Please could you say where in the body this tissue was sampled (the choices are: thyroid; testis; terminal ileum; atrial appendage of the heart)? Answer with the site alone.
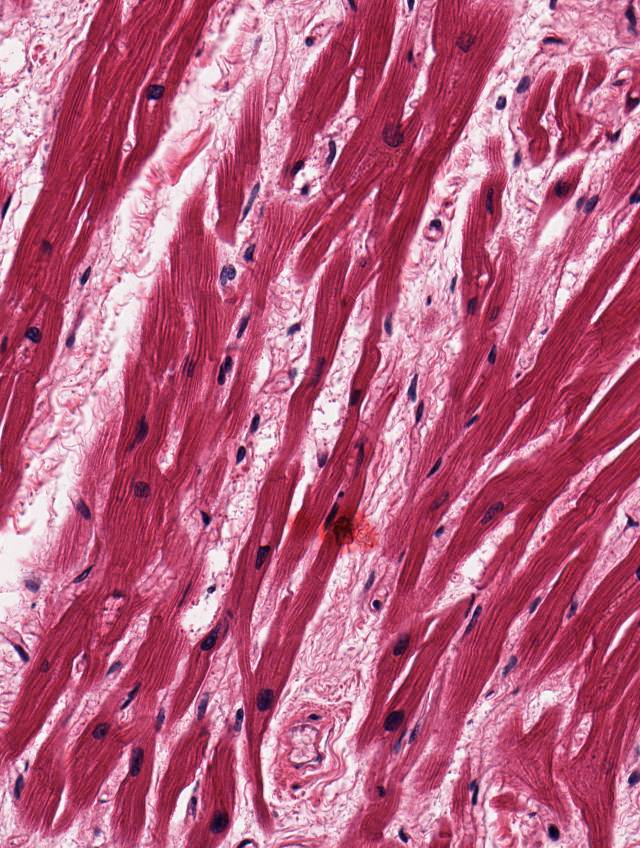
atrial appendage of the heart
